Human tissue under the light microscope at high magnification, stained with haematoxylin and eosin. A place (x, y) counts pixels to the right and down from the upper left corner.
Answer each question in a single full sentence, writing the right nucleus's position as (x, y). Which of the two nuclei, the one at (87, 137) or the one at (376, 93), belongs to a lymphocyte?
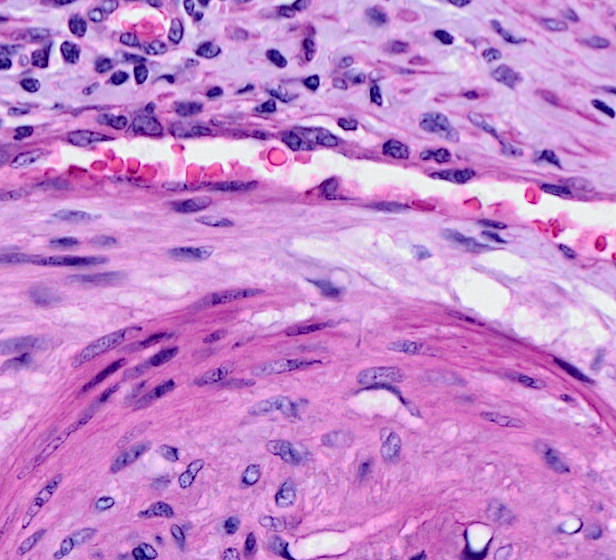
Of these two nuclei, it is the one at (376, 93) that belongs to a lymphocyte.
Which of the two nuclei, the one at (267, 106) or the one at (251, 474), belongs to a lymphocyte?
Among the two, the nucleus at (267, 106) is the nucleus of a lymphocyte.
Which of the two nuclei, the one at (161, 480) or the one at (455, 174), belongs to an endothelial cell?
The nucleus of an endothelial cell is the one at (455, 174).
